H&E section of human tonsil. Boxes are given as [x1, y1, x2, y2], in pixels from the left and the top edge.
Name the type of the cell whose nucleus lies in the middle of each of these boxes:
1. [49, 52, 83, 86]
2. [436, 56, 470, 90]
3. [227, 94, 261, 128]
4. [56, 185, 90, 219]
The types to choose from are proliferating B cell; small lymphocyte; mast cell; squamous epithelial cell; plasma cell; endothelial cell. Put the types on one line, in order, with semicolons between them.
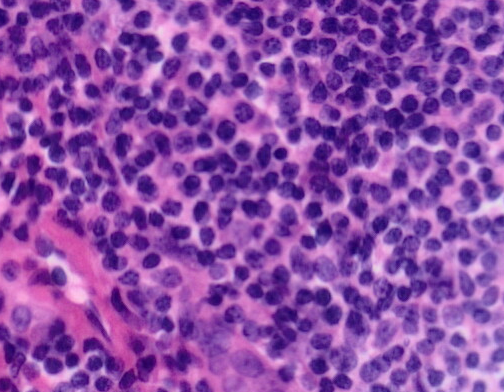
small lymphocyte; small lymphocyte; plasma cell; small lymphocyte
